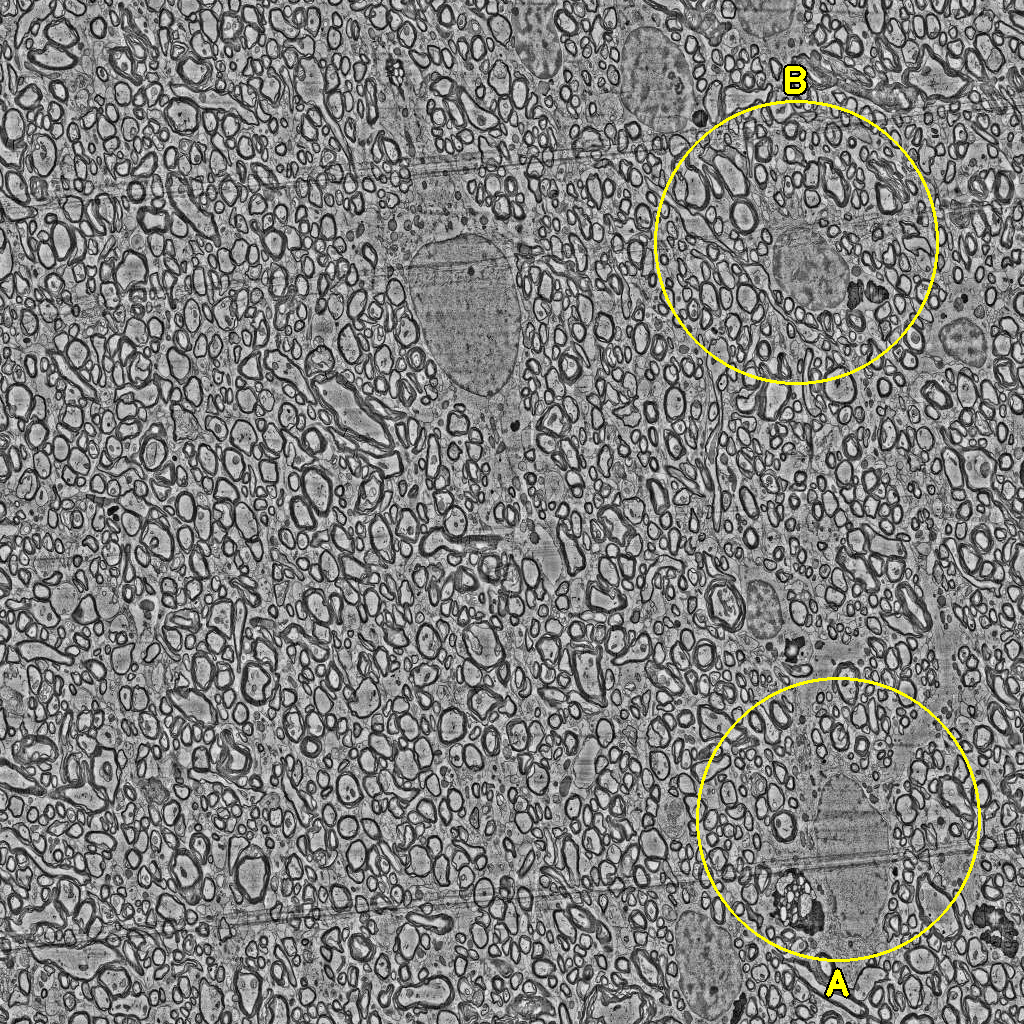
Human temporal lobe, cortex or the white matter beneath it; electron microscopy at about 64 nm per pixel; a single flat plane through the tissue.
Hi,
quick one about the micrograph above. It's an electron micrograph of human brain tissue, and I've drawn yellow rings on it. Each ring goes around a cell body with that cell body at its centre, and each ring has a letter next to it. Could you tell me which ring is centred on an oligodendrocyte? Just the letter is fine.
B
